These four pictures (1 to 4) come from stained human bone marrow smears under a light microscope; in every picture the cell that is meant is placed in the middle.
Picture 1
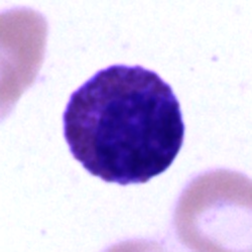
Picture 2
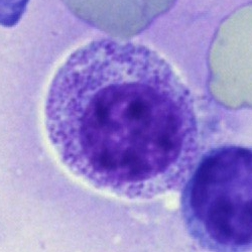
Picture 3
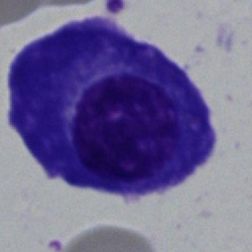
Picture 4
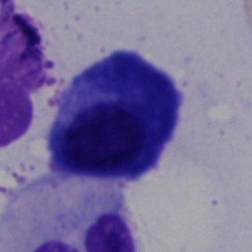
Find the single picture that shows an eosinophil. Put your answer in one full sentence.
The picture with the eosinophil is 1.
